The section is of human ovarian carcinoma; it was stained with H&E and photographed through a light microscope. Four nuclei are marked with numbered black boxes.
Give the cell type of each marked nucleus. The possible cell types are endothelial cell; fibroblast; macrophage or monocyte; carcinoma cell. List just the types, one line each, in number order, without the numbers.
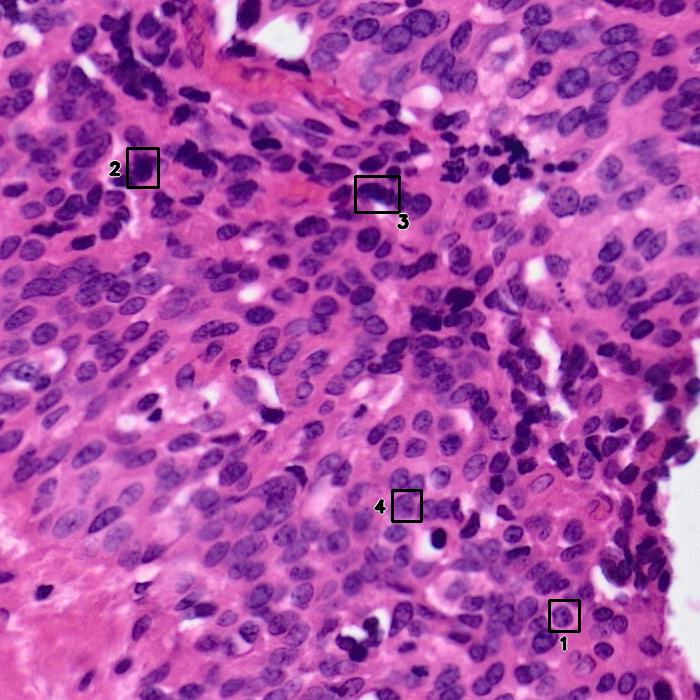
macrophage or monocyte
carcinoma cell
carcinoma cell
carcinoma cell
